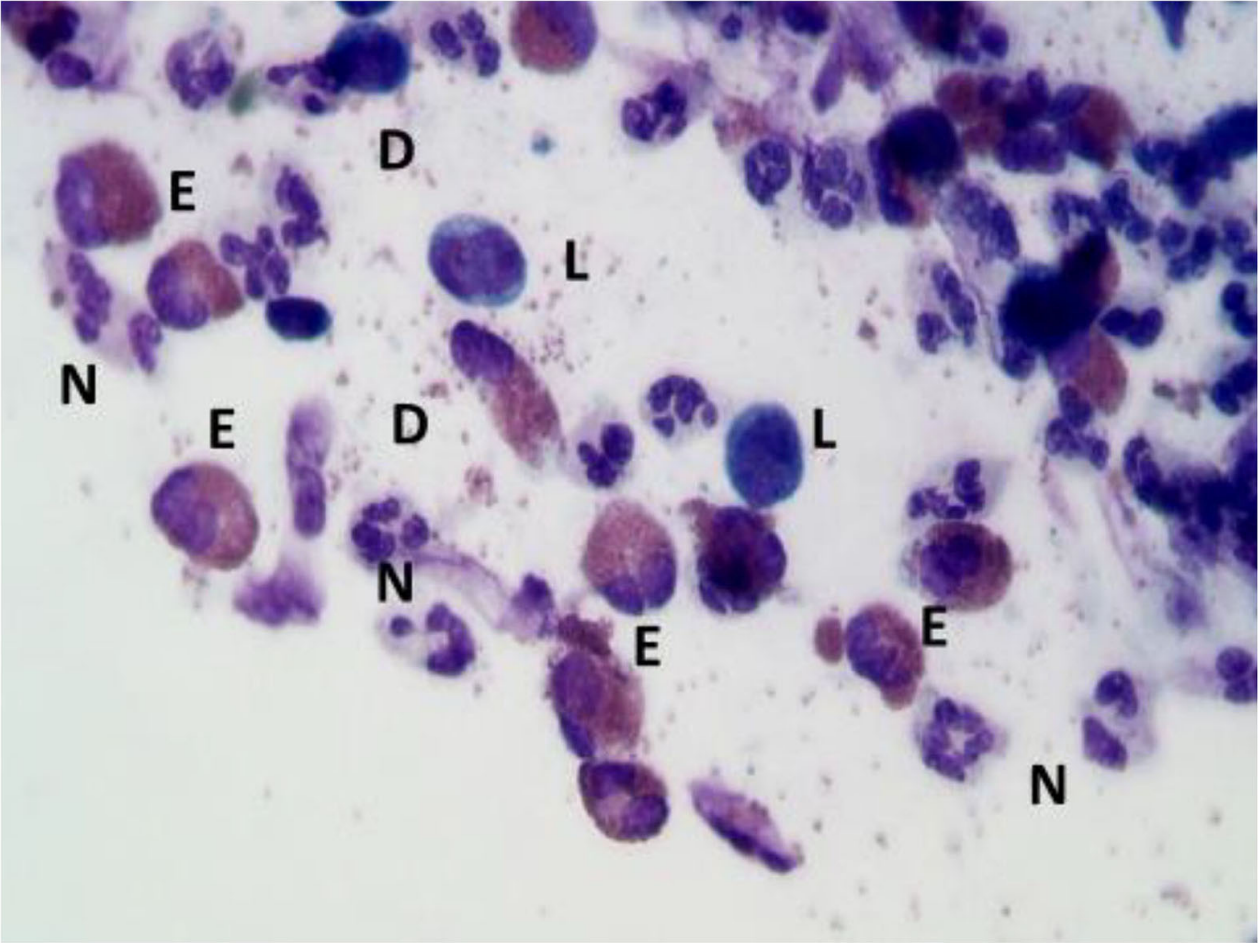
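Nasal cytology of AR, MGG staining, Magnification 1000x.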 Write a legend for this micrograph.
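The neutrophils are smaller, with nuclei broken into several purple lobes and pale cytoplasm. A few lymphocytes stand out as round cells with a large nucleus and only a thin rim of deep blue cytoplasm. Between the cells, fine reddish granules lie scattered freely in the background, a sign of degranulation.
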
